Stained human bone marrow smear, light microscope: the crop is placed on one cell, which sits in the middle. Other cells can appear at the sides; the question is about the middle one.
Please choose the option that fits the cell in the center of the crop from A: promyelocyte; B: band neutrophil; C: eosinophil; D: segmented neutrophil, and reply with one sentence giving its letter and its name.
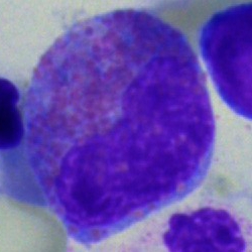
The centrally located cell is an eosinophil, making option C the correct choice.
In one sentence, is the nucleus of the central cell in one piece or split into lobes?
The nucleus amounts to one compact mass with a round, oval or kidney-shaped outline.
